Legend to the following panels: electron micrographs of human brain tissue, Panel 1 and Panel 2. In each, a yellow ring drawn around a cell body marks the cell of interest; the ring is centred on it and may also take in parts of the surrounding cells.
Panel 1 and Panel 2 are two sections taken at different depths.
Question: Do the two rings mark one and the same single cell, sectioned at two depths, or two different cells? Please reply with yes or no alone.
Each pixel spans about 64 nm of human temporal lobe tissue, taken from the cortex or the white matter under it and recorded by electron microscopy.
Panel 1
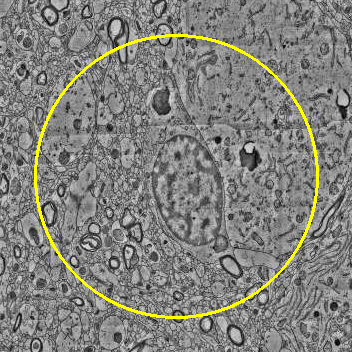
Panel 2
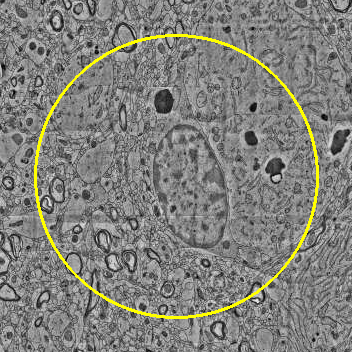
yes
